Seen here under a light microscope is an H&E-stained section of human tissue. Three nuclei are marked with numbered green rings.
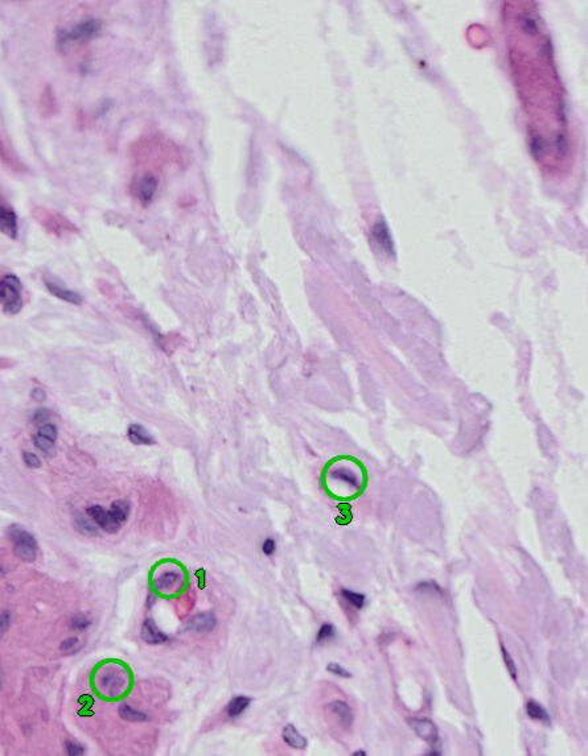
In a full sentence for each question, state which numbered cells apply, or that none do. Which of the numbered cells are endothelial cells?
The cells with the number labels 1 and 3 are endothelial cells.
